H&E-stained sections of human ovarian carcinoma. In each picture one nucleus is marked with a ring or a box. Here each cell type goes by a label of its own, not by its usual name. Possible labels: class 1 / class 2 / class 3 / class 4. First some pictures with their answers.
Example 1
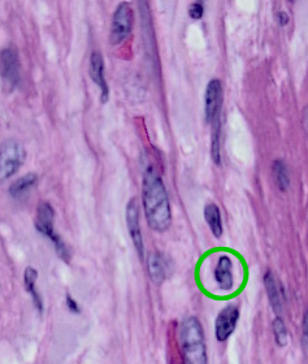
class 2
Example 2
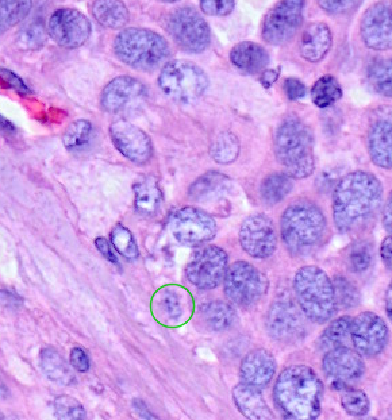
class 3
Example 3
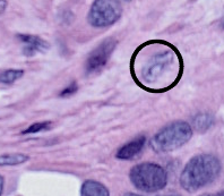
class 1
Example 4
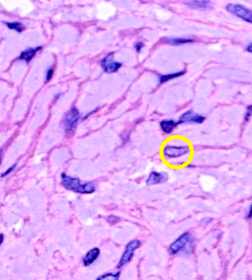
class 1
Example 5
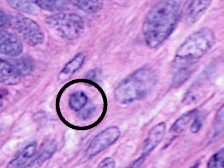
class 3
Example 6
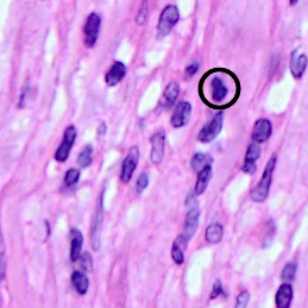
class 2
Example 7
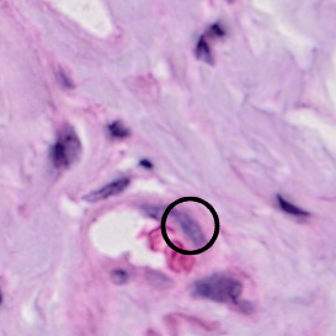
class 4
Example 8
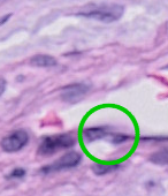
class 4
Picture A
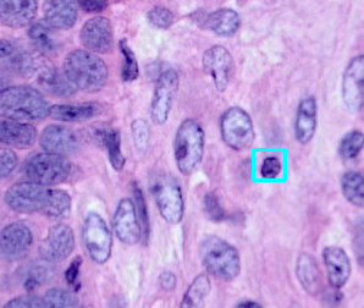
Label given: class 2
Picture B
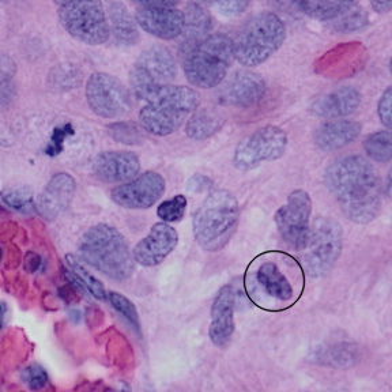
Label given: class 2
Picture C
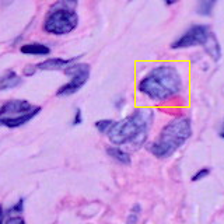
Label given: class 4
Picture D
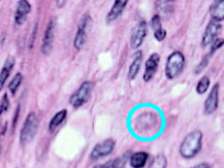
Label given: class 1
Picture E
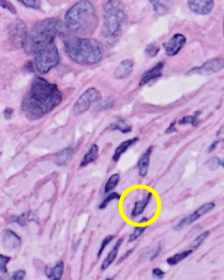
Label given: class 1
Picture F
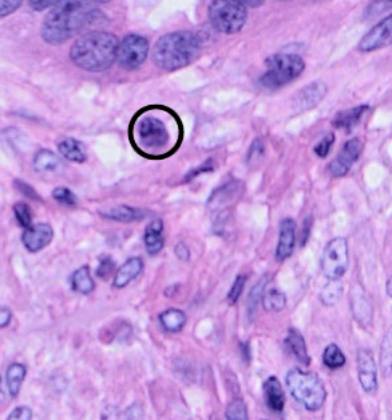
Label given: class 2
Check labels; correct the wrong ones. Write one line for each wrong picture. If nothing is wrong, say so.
None of the labels needs changing.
